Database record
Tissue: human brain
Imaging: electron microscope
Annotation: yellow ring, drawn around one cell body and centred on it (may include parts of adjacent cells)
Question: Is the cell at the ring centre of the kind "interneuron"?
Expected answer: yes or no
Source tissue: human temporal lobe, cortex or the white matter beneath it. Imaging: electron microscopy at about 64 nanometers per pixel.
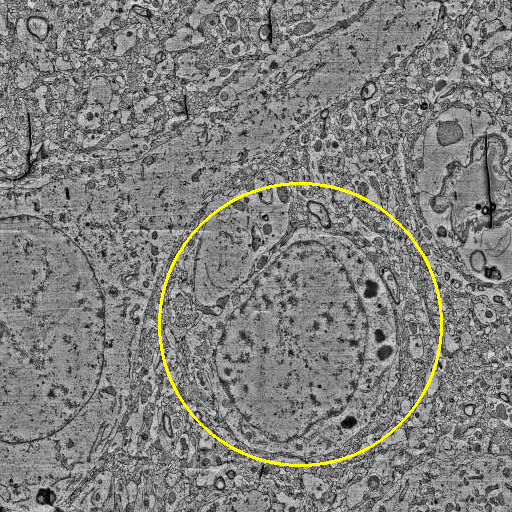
yes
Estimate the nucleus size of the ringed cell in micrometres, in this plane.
In this plane, approximately 13 by 10 micrometers.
